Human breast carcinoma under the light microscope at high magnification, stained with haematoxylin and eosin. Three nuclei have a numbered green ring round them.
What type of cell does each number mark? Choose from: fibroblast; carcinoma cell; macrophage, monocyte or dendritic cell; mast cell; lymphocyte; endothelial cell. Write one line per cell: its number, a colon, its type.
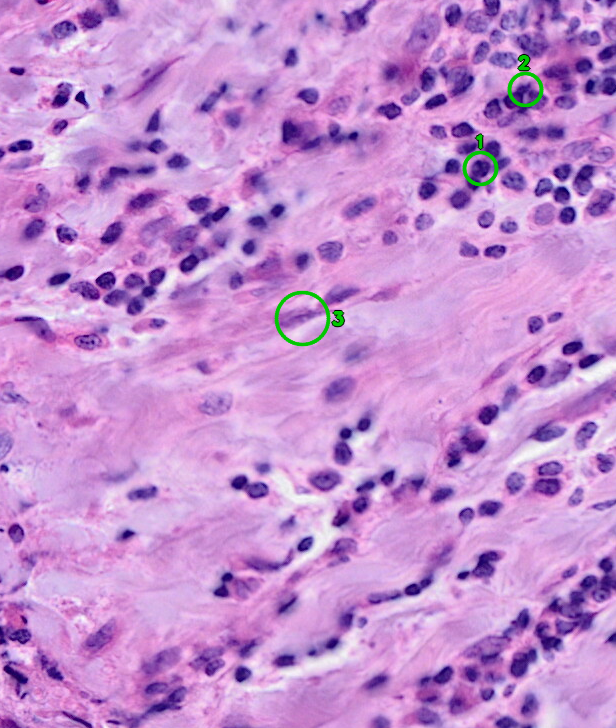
1: lymphocyte
2: lymphocyte
3: fibroblast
